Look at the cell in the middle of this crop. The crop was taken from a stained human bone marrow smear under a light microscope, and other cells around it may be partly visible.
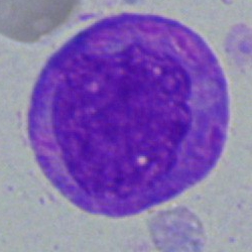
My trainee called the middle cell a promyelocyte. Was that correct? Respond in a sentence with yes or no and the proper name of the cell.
Yes, the cell at the very centre of the crop is a promyelocyte.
